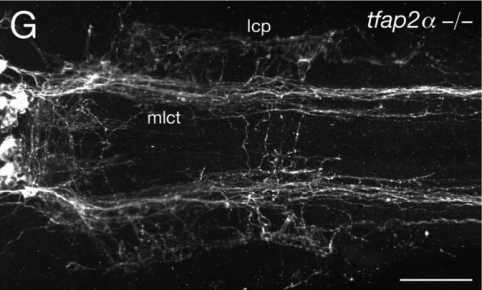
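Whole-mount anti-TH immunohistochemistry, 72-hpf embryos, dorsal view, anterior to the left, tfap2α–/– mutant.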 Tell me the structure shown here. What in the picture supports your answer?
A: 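Bundles of thin labelled fibres run lengthwise on both sides of the midline. Finer fibres branch and cross between the bundles. No labelled cell bodies lie along the fibres in the middle of the field.
Hindbrain axonal projections.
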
